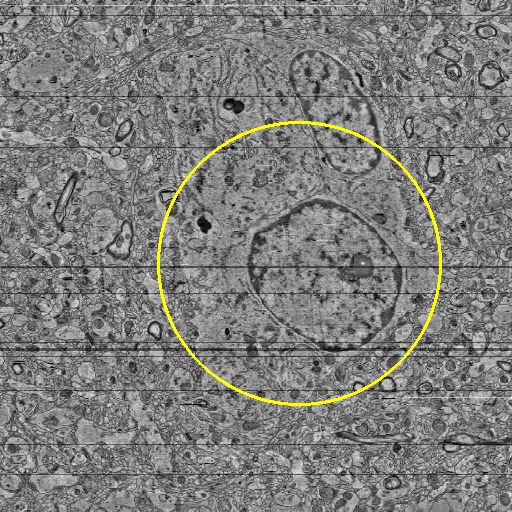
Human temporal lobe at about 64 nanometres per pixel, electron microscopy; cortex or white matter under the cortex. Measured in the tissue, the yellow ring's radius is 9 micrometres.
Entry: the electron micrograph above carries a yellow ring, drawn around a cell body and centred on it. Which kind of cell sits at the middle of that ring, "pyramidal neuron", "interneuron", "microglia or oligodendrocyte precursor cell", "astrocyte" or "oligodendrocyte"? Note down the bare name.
microglia or oligodendrocyte precursor cell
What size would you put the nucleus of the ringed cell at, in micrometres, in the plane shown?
In this plane the nucleus measures roughly 10 by 9 micrometres.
